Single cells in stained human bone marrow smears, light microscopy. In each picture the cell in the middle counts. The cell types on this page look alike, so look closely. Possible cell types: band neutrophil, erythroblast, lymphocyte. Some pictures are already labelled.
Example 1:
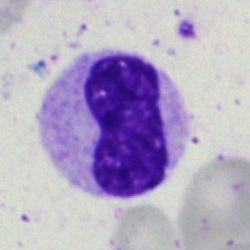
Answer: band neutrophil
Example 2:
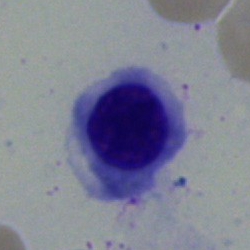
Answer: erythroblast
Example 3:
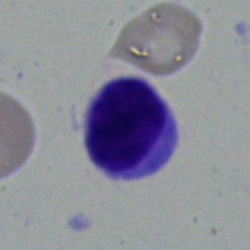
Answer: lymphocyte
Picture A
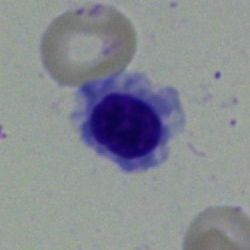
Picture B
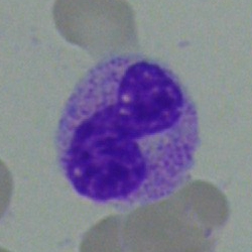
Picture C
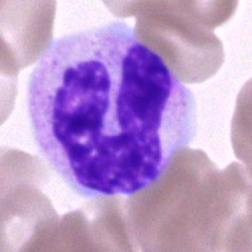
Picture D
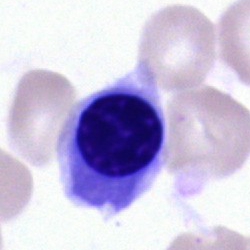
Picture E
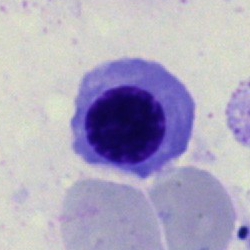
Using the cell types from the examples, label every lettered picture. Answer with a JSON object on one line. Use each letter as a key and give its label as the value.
{"A": "erythroblast", "B": "band neutrophil", "C": "band neutrophil", "D": "erythroblast", "E": "erythroblast"}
